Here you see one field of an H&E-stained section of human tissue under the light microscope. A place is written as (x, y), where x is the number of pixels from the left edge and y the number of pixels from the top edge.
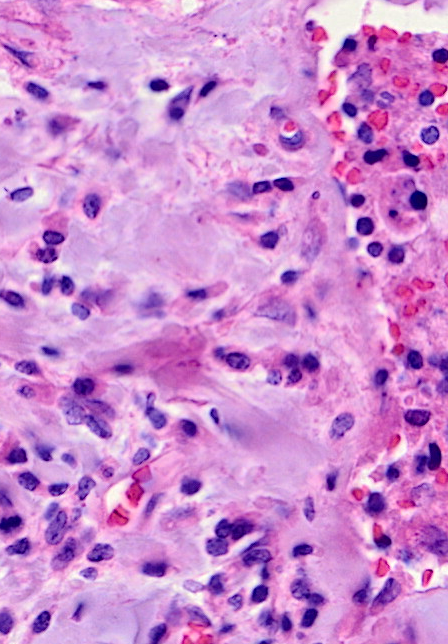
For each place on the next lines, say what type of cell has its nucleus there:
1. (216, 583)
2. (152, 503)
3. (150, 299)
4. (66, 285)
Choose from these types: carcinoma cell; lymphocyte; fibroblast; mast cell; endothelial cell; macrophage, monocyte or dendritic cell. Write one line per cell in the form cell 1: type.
cell 1: lymphocyte
cell 2: endothelial cell
cell 3: fibroblast
cell 4: lymphocyte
